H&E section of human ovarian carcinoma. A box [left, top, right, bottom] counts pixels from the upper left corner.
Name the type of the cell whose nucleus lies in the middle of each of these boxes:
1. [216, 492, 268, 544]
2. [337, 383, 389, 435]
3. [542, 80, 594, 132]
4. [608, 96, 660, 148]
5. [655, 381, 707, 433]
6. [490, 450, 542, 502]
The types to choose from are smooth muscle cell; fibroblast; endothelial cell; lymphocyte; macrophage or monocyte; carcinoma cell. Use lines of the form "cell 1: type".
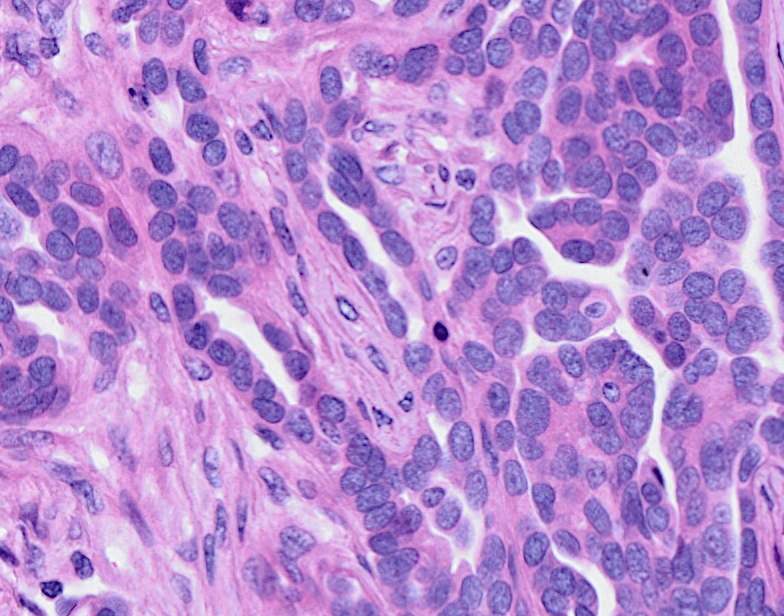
cell 1: fibroblast
cell 2: fibroblast
cell 3: carcinoma cell
cell 4: carcinoma cell
cell 5: carcinoma cell
cell 6: carcinoma cell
